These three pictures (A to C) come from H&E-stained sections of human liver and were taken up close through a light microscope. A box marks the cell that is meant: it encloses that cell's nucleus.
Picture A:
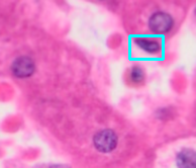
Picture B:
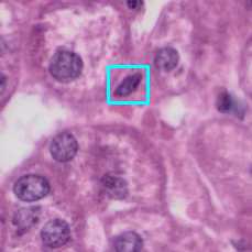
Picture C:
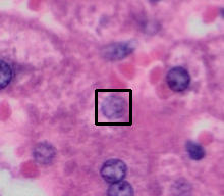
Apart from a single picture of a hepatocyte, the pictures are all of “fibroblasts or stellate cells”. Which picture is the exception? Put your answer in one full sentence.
The picture with the hepatocyte is C.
